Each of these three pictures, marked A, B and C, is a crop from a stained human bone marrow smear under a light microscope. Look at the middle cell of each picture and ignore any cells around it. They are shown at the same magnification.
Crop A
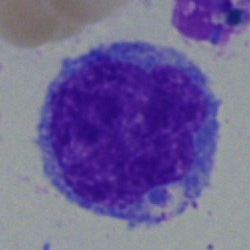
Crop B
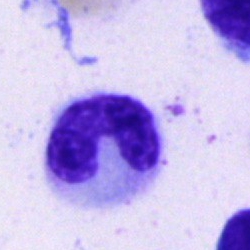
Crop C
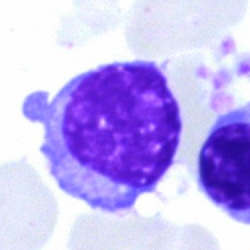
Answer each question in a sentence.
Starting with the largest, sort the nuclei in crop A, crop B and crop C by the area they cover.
Largest first: A, C, B.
